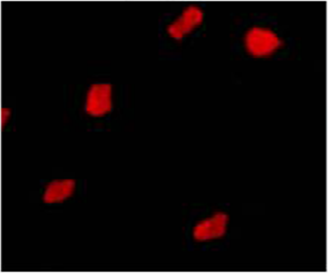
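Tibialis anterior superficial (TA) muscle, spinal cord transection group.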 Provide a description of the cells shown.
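Only a handful of red, angular profiles stand out on an otherwise black background, lying far apart from each other. The unstained space between them gives no outline of neighbouring fibers.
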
